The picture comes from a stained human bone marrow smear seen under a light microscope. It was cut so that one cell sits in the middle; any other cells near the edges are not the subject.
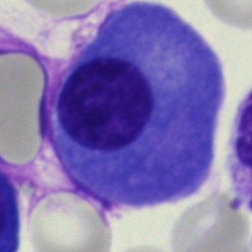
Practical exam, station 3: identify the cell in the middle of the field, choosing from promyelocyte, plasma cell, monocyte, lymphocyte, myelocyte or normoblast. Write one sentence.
This crop's central cell is a plasma cell.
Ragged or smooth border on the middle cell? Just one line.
Smooth edges only, with no spikes, blebs, or other projections.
